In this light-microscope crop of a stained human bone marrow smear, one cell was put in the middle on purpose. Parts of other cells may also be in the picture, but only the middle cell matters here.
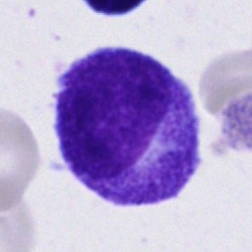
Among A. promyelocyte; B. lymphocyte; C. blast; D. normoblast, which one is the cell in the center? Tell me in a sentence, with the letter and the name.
The central cell is a promyelocyte, which makes option A the right answer.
